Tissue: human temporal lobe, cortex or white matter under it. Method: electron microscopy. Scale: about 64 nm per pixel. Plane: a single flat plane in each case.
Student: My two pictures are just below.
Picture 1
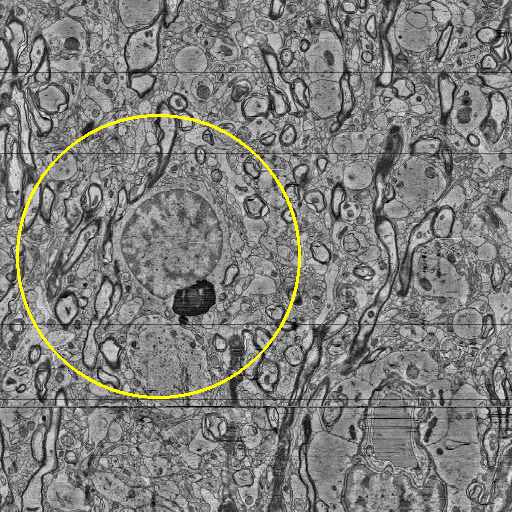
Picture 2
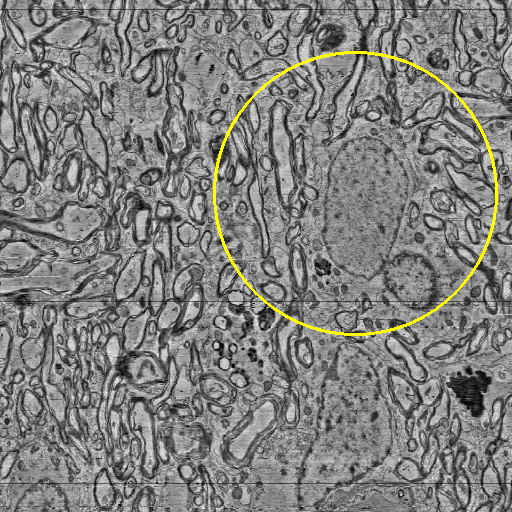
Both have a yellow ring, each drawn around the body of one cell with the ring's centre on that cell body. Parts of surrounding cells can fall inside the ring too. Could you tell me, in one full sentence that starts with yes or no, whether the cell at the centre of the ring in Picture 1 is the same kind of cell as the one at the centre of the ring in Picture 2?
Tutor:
No, the two cells are of two kinds.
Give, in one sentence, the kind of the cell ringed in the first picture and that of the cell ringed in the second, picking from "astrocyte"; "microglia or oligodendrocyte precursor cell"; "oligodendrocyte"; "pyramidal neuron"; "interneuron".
For the first picture it is an oligodendrocyte; for the second, an astrocyte.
